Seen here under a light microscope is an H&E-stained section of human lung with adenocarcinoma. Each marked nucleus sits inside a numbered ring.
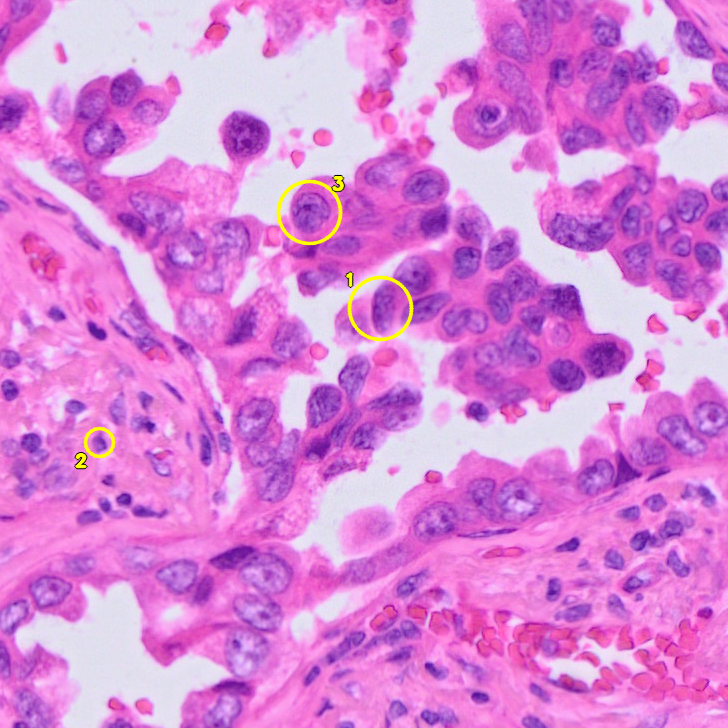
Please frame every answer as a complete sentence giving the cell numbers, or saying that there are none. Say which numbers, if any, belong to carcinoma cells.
The cells with the numbers 1 and 3 are carcinoma cells.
